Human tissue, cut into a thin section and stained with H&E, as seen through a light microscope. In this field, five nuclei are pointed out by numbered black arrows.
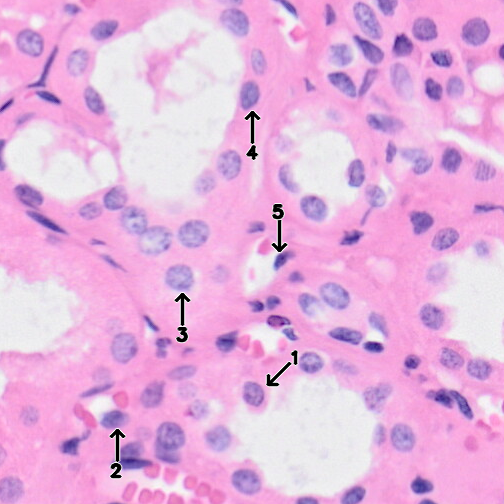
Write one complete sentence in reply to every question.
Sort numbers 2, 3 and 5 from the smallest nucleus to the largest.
Smallest first, the nuclei run 5, 2, 3.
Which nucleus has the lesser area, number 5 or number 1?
The smaller nucleus is 5, and 1 covers roughly 3 times its area.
